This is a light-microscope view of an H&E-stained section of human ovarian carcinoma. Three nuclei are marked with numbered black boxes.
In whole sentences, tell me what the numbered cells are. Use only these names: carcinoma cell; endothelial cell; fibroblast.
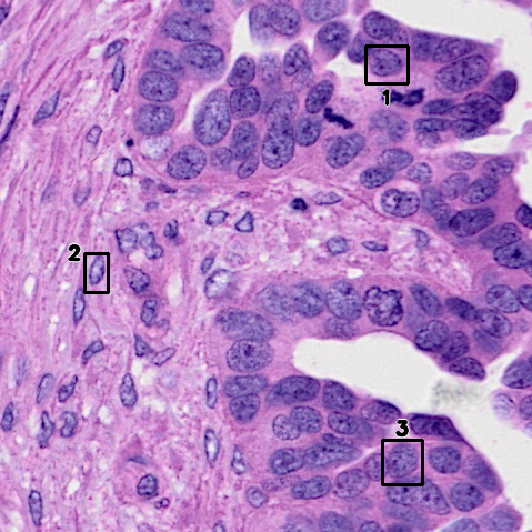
Cells 1 and 3 are carcinoma cells. Cell 2 is a fibroblast.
